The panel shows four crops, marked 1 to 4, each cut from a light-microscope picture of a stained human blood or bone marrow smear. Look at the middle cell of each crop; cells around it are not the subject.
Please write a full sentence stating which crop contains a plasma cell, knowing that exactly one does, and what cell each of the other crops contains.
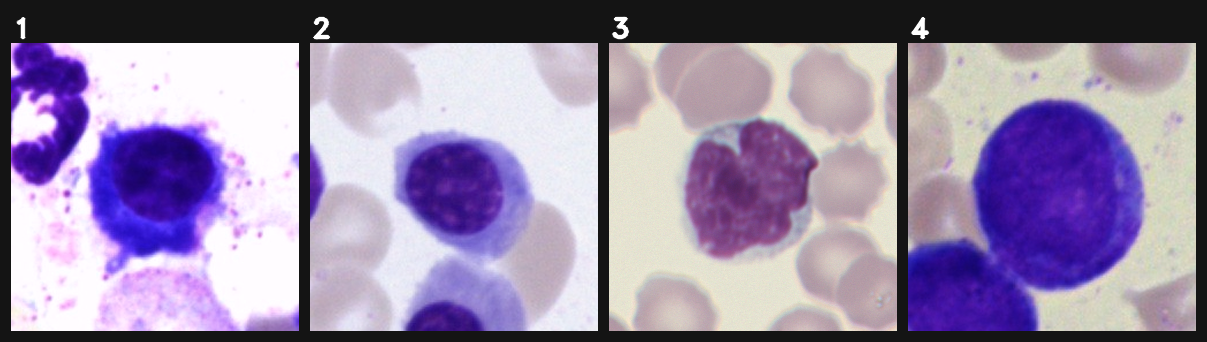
Crop 1 displays a plasma cell, whereas crop 2 is an erythroblast, crop 3 is a lymphocyte and crop 4 is a promyelocyte.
